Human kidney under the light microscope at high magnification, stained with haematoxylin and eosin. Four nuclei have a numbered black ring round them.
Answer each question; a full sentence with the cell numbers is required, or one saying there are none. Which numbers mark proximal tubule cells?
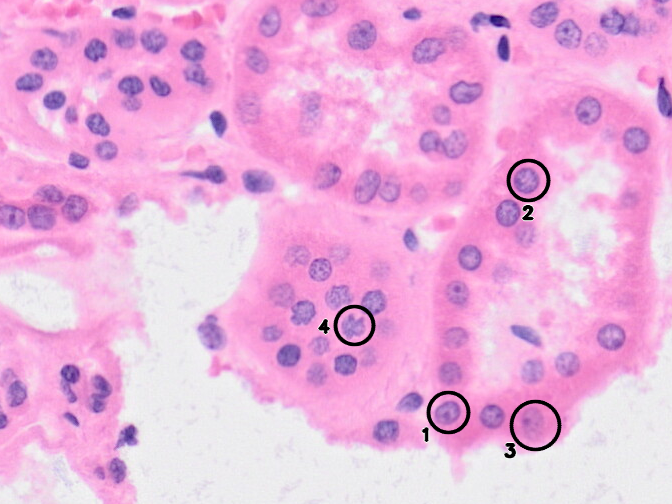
As for the cells numbered 1, 2 and 3, they are proximal tubule cells.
